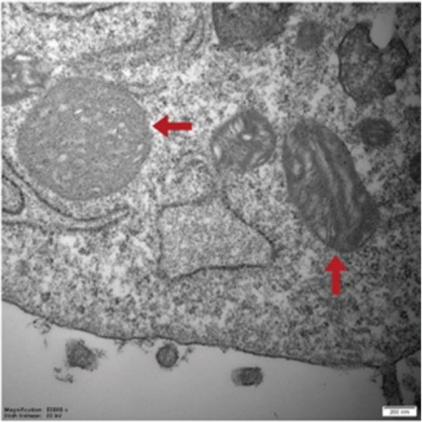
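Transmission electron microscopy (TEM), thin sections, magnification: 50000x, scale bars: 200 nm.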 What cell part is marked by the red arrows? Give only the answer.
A: mitochondria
